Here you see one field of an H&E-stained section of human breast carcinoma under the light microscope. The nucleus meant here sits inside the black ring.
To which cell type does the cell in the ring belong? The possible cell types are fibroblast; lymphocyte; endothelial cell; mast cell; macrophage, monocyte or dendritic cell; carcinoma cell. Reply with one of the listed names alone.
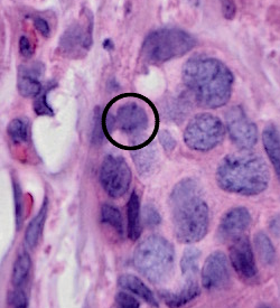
carcinoma cell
